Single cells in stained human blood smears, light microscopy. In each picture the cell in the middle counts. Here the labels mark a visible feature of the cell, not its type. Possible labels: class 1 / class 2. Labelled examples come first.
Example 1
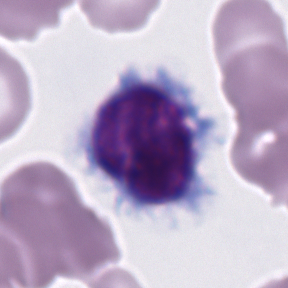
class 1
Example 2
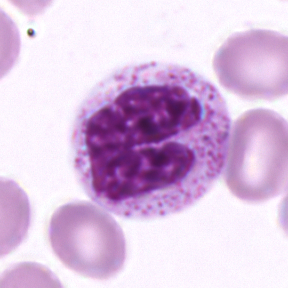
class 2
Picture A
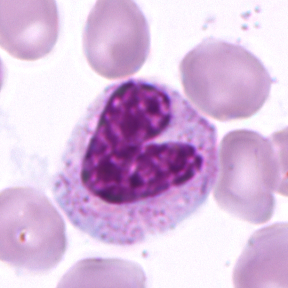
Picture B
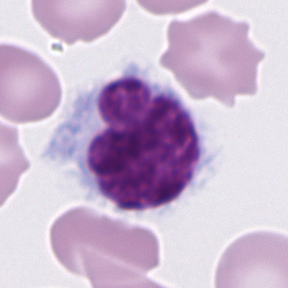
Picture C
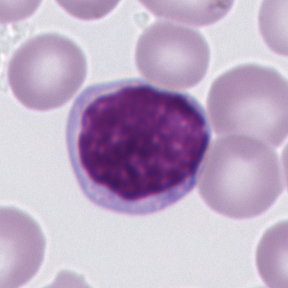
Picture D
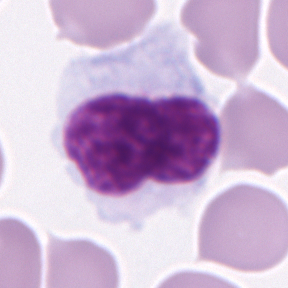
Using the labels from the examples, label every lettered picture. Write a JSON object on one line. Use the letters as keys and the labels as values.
{"A": "class 2", "B": "class 2", "C": "class 1", "D": "class 2"}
